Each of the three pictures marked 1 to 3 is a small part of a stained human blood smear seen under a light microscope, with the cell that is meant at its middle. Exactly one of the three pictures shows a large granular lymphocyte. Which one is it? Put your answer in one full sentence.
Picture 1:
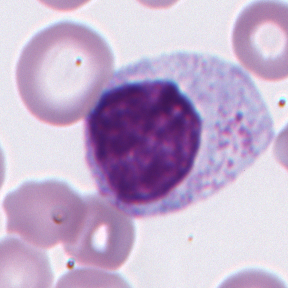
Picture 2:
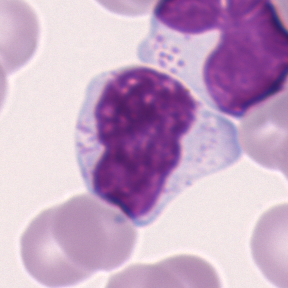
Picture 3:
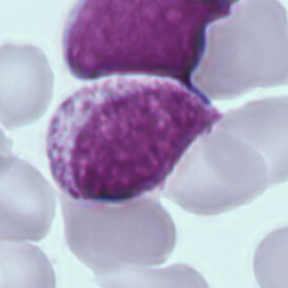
Picture 2 is the one that shows the large granular lymphocyte.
